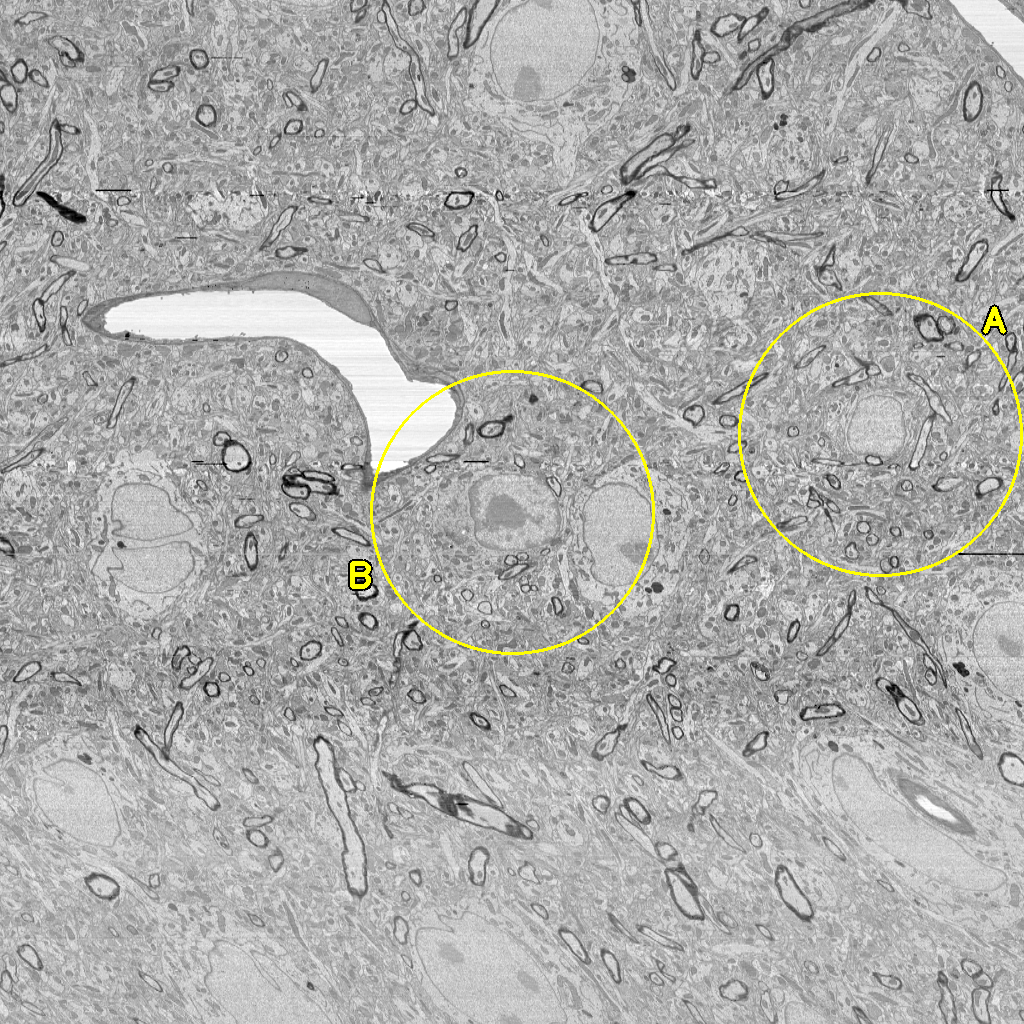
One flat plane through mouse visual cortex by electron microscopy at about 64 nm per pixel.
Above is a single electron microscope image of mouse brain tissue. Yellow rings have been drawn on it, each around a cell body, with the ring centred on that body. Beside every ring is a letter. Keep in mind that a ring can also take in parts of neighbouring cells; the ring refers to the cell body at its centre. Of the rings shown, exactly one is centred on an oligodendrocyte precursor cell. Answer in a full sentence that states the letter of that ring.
The cell at the centre of ring A is the one asked for.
